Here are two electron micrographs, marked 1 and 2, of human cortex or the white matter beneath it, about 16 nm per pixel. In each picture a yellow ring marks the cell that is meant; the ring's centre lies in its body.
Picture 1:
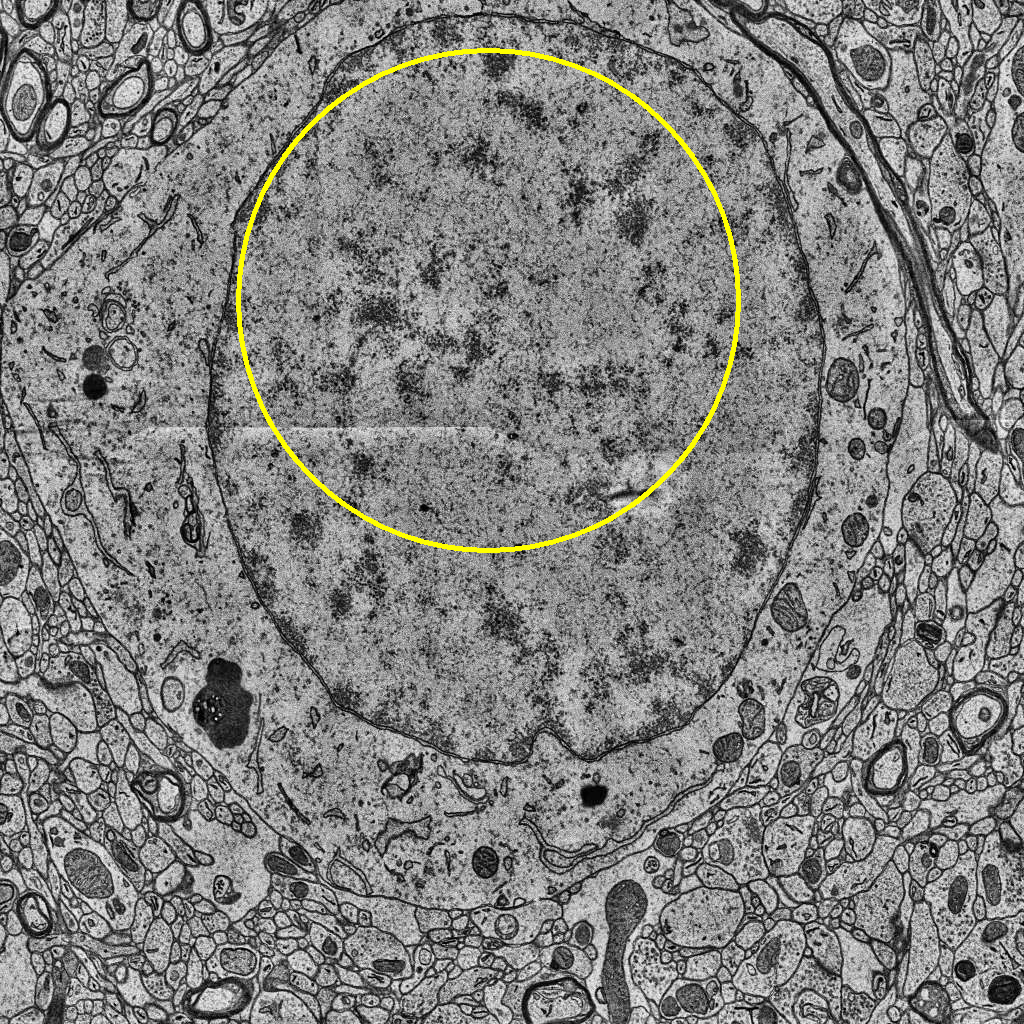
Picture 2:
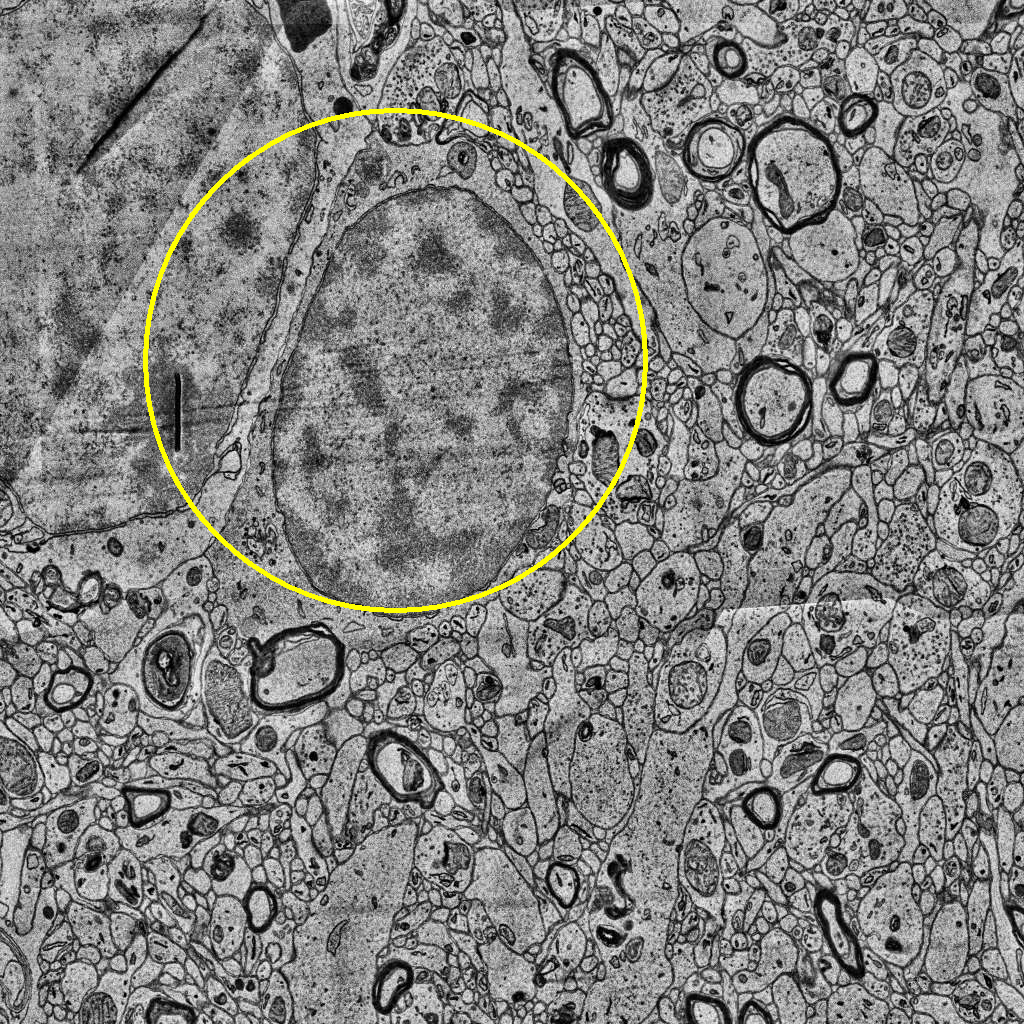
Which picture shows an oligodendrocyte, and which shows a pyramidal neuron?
Picture 1 shows a pyramidal neuron and picture 2 shows an oligodendrocyte.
